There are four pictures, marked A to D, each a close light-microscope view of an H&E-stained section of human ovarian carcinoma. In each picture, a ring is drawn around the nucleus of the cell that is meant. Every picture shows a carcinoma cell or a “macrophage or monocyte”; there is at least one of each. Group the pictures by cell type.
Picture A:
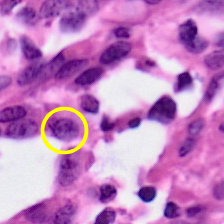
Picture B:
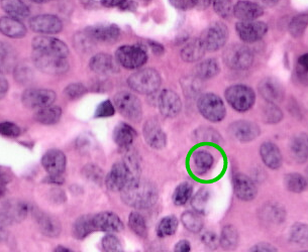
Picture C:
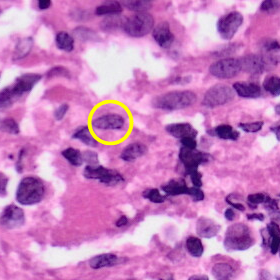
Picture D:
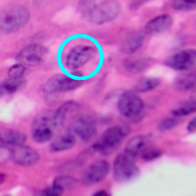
A: carcinoma cell
B: macrophage or monocyte
C: macrophage or monocyte
D: macrophage or monocyte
